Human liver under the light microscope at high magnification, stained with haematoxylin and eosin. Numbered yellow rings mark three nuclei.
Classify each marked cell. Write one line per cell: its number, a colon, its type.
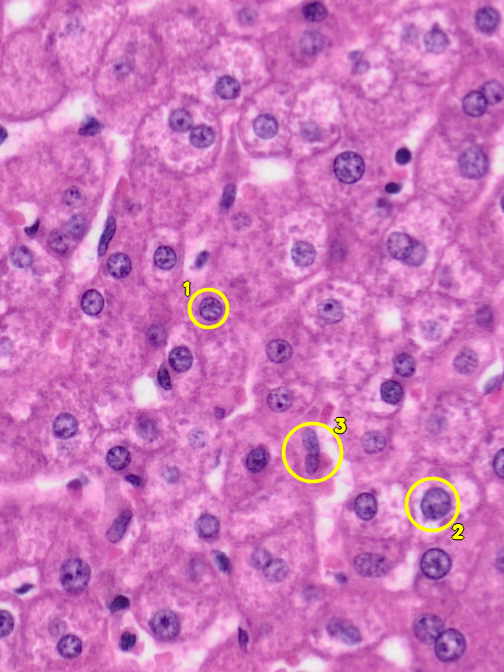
1: hepatocyte
2: hepatocyte
3: Kupffer cell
